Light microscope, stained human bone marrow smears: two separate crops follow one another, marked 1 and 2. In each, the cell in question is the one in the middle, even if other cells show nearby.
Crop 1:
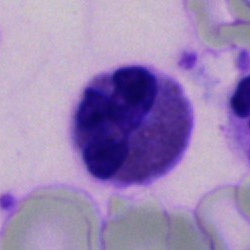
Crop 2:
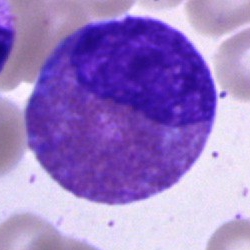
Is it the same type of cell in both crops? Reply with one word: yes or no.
yes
